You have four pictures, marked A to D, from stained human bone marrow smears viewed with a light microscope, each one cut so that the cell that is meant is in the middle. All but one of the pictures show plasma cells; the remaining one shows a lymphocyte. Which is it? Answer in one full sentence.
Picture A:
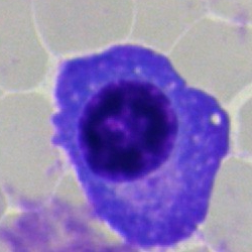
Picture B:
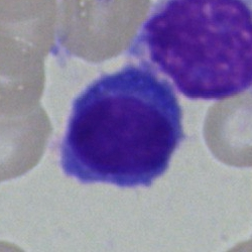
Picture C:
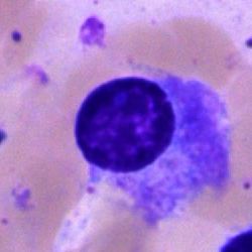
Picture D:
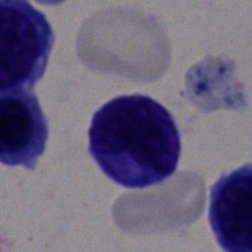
Picture D shows the lymphocyte.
